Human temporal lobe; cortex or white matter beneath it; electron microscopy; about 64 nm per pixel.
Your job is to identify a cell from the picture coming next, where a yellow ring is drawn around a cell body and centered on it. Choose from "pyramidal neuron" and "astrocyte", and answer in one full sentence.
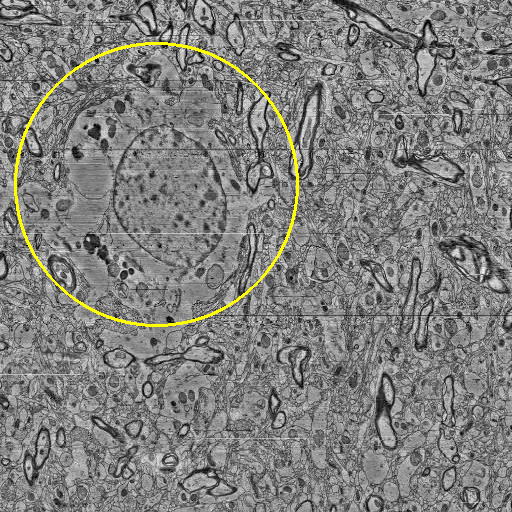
Centered in the yellow ring of the picture is the body of an astrocyte.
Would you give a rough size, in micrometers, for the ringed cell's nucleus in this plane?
In this plane, the nucleus of the cell at the centre of the ring measures about 10 by 7 micrometres.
